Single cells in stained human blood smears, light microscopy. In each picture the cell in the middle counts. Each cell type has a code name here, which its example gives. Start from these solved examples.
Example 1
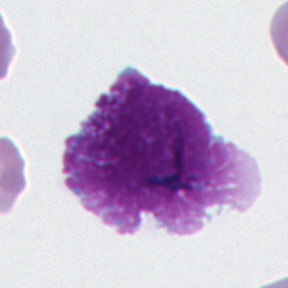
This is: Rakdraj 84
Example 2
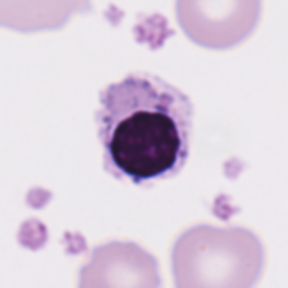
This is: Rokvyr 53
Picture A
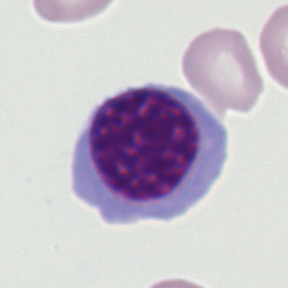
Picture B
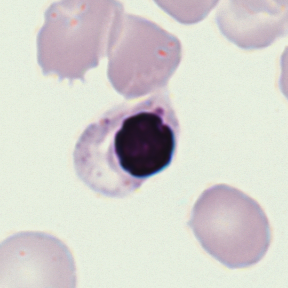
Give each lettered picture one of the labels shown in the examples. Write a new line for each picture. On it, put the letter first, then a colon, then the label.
A: Rokvyr 53
B: Rokvyr 53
